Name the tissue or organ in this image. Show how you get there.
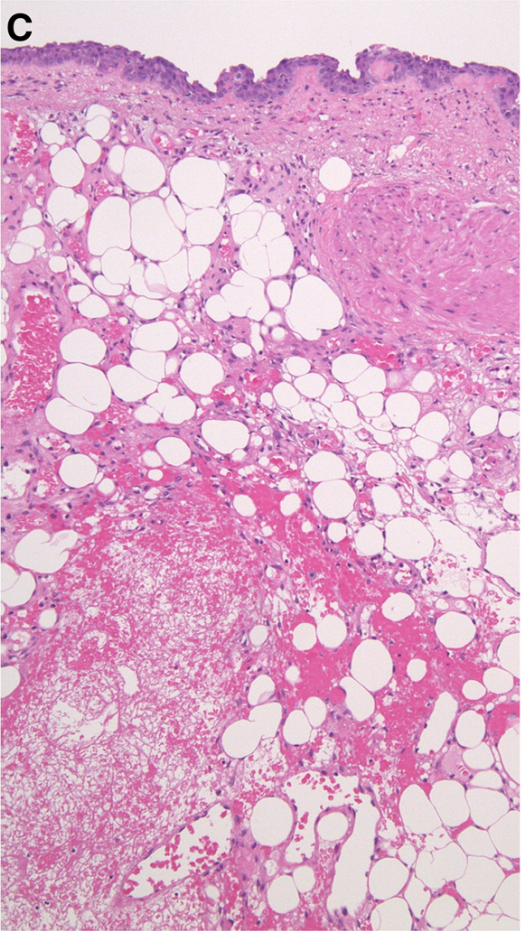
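Adipose tissue. Many round empty vacuoles of varying size fill most of the field. Thin cell borders separate the empty spaces.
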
